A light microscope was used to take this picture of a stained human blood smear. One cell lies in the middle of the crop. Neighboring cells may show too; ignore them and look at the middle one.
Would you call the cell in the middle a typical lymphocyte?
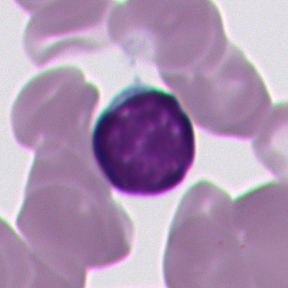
yes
